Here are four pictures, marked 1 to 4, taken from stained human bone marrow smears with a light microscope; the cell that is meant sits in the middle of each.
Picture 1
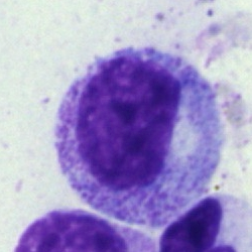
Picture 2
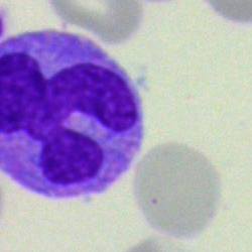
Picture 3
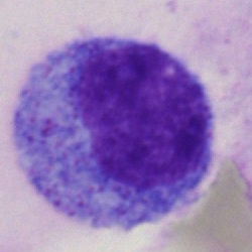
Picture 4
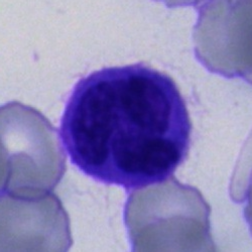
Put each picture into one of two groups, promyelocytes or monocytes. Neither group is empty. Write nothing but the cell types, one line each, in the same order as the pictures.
promyelocyte
monocyte
promyelocyte
monocyte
